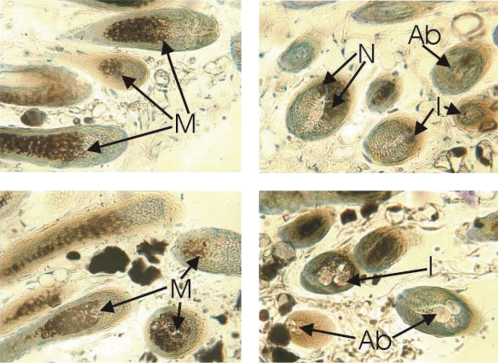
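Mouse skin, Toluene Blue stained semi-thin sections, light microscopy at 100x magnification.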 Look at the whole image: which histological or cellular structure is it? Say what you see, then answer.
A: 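Rounded and elongated epithelial hair bulbs cut in cross and longitudinal section. Bulbs contain brown pigment granules within densely packed cells. Bulbs sit in loose connective tissue. On this evidence: Anagen hair follicles.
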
